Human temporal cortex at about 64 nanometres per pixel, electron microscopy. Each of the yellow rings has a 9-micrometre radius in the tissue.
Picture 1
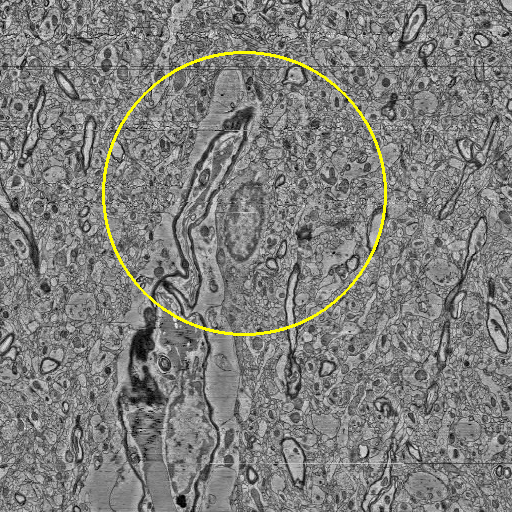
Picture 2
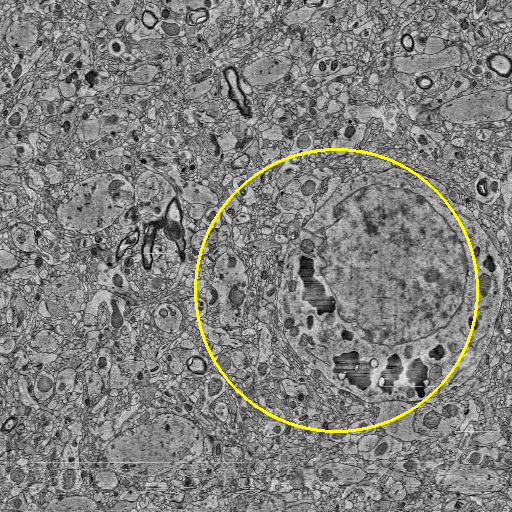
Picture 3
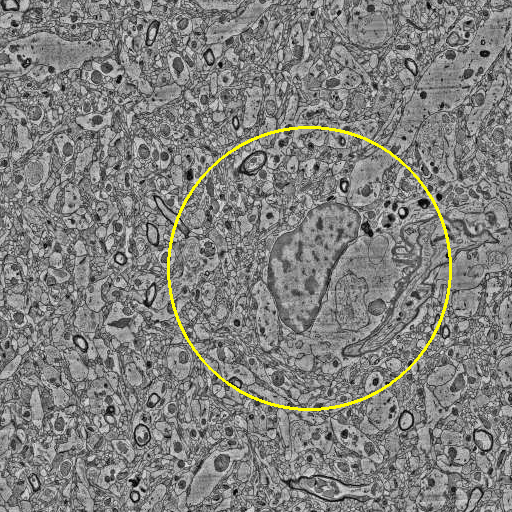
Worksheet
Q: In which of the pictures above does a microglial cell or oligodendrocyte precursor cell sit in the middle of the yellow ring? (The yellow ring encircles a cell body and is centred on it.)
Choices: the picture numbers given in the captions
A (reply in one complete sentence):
In picture 3, the cell sitting at the centre of the ring is the match.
